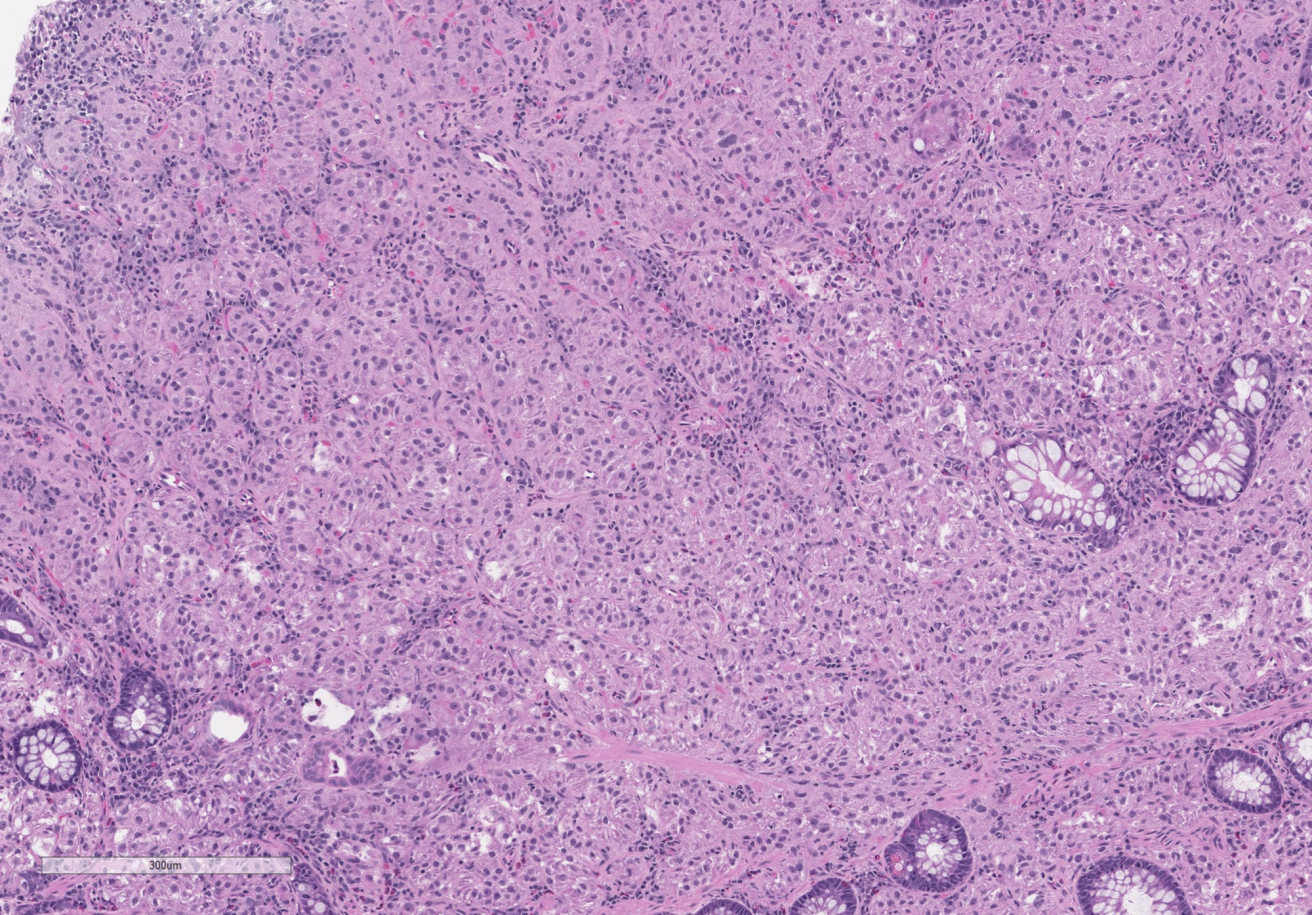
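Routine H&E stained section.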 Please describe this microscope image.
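Sheets of epithelioid cells arranged in rounded nests separated by thin pink fibrovascular septa fill the mucosa. Scattered glandular crypts lined by columnar epithelium with many mucin-filled goblet cells lie among and at the edges of the nests. Small clusters of dark lymphocytes sit in the septa and around the crypts.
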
